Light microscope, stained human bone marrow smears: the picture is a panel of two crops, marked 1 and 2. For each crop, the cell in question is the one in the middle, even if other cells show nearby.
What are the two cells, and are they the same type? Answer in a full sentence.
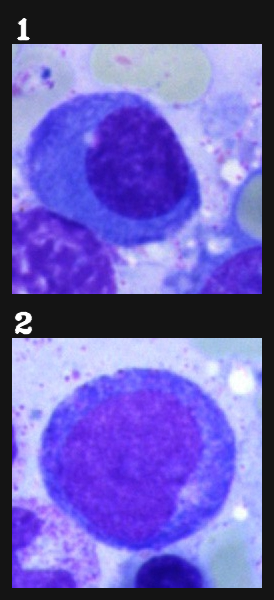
No, a plasma cell is the cell in crop 1; a promyelocyte is the cell in crop 2.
